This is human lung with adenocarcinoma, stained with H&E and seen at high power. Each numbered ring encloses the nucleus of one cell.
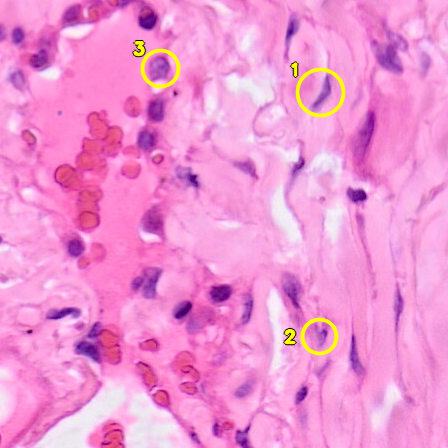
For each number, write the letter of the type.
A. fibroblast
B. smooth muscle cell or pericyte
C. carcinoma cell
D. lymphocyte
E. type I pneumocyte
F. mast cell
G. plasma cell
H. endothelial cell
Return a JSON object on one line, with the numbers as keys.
{"1": "A", "2": "A", "3": "E"}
